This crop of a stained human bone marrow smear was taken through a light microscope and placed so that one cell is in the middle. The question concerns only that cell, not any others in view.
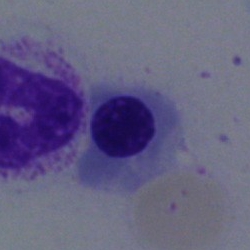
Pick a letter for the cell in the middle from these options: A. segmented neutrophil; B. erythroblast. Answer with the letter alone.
B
